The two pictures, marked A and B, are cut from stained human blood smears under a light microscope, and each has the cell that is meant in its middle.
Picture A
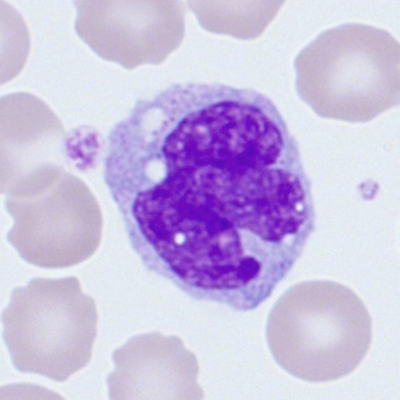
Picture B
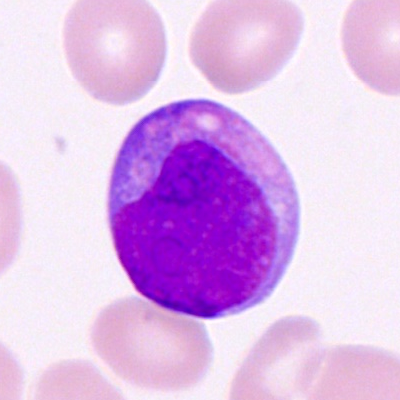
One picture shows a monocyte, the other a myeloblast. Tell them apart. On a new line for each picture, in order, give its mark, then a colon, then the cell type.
A: monocyte
B: myeloblast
